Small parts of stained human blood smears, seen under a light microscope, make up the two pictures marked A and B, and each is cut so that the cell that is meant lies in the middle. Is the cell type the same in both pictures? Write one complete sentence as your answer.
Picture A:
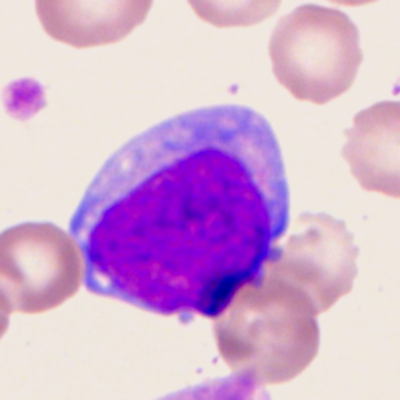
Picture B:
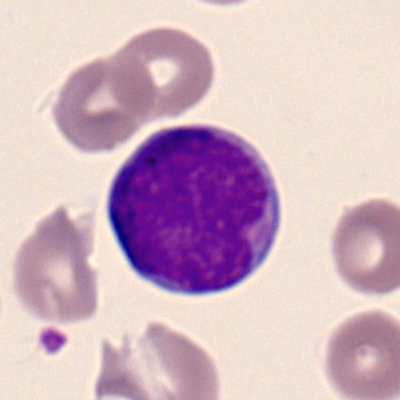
Yes, both are myeloblasts.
